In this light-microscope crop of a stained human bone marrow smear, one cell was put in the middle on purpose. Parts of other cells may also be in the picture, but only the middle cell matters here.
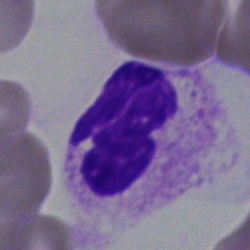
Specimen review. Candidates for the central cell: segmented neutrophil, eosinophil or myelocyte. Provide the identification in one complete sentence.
Here the centrally located cell is a segmented neutrophil.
